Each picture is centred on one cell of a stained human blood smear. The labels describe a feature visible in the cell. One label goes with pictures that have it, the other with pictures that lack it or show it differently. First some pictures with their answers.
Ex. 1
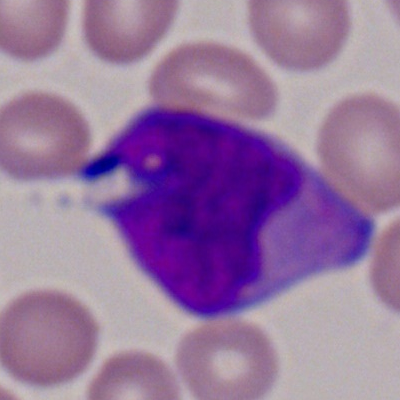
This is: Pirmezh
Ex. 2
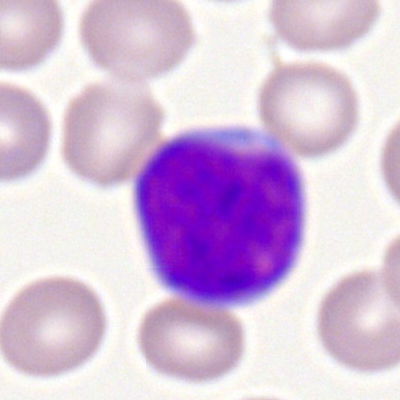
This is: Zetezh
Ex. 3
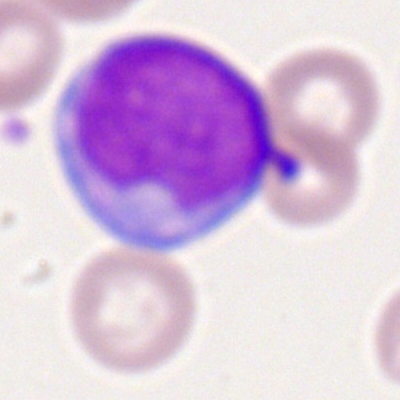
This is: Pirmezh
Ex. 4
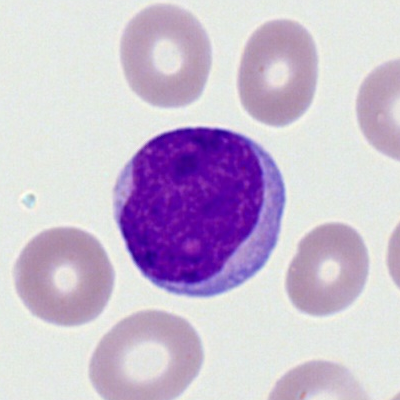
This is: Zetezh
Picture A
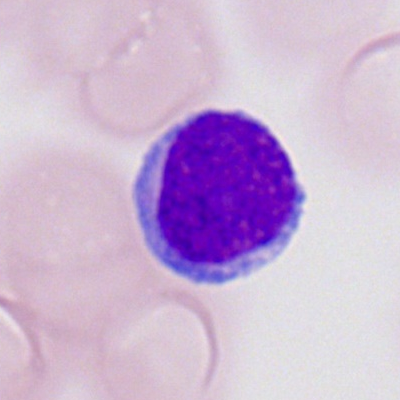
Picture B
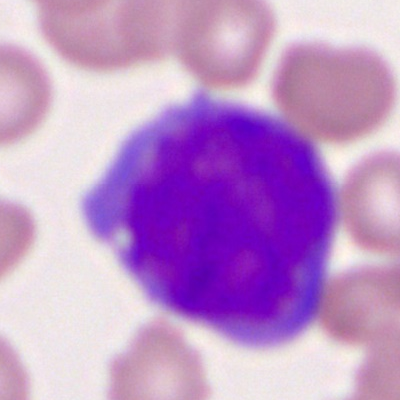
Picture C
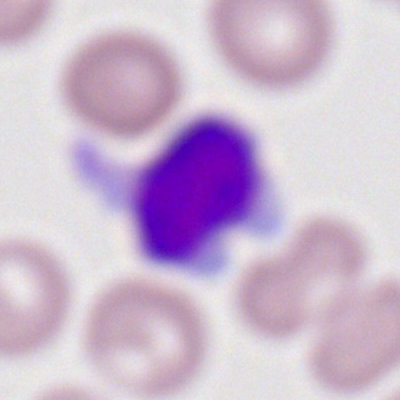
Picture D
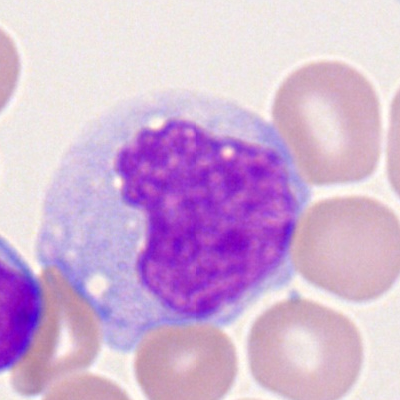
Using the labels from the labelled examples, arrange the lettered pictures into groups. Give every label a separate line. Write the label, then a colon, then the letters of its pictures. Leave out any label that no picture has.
Pirmezh: B, C
Zetezh: A, D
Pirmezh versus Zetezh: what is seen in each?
Pirmezh, ragged outline or projections; Zetezh, smooth outline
